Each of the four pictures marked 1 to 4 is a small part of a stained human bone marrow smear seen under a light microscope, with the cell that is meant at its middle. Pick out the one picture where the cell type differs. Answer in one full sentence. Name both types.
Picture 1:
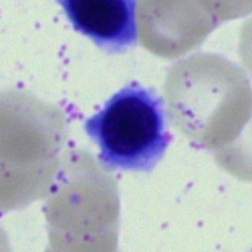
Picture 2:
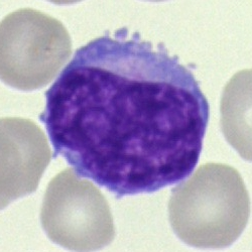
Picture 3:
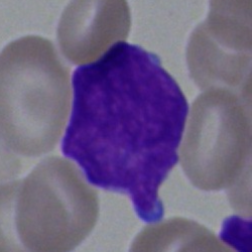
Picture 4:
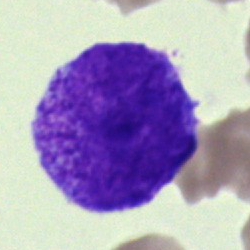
Picture 1 is the odd one out: it shows an erythroblast, while the others show blasts.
